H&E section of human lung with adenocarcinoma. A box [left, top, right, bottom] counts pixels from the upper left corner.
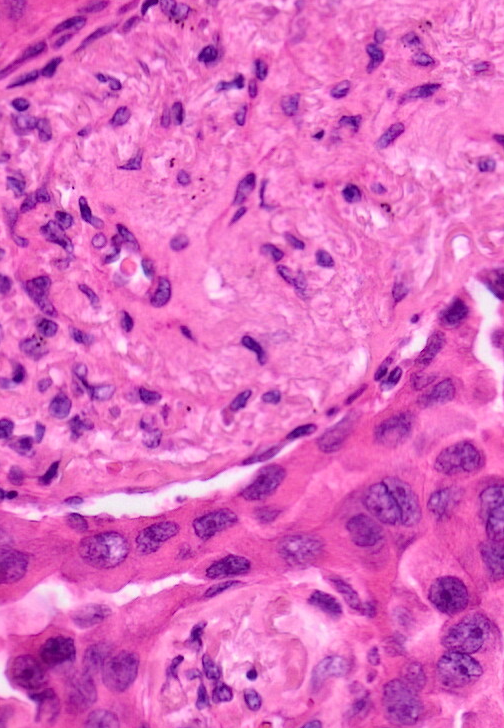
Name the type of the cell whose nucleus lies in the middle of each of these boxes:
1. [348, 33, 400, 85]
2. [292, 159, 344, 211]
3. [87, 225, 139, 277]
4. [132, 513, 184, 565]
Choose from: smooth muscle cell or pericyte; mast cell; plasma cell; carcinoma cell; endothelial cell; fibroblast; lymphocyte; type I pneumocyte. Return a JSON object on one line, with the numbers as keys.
{"1": "smooth muscle cell or pericyte", "2": "smooth muscle cell or pericyte", "3": "endothelial cell", "4": "carcinoma cell"}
